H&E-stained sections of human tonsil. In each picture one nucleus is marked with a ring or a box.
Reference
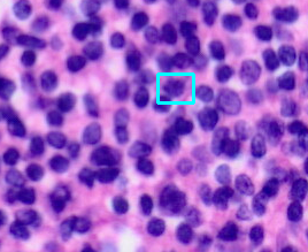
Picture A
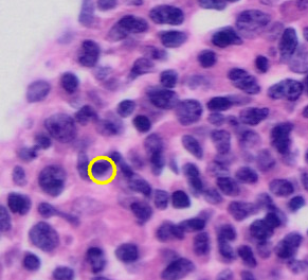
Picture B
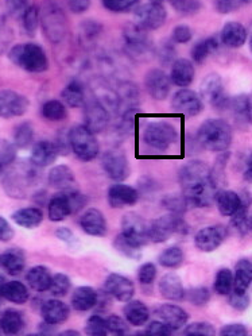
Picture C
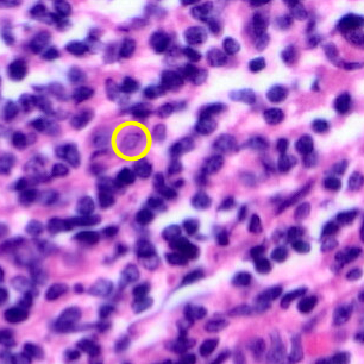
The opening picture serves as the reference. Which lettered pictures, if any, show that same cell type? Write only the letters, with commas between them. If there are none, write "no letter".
no letter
